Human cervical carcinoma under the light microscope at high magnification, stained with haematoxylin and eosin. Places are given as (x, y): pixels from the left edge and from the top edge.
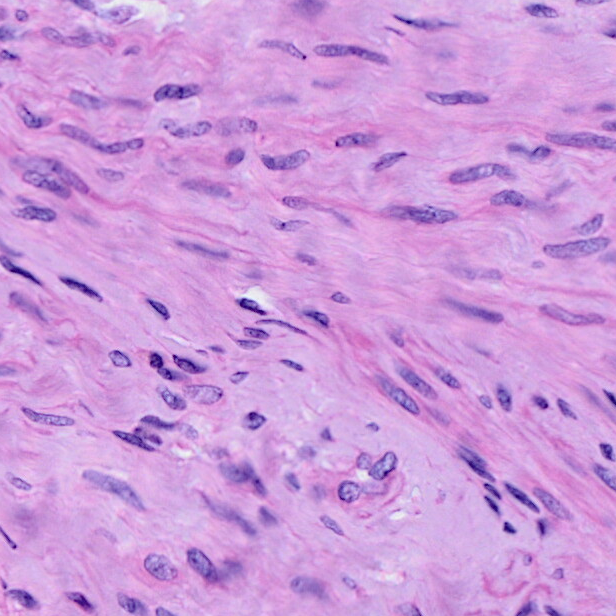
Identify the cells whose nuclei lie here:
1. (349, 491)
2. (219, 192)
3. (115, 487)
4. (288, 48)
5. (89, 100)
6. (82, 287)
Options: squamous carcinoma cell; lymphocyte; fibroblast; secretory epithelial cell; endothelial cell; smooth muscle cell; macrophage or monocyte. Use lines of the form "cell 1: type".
cell 1: endothelial cell
cell 2: smooth muscle cell
cell 3: fibroblast
cell 4: fibroblast
cell 5: smooth muscle cell
cell 6: fibroblast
